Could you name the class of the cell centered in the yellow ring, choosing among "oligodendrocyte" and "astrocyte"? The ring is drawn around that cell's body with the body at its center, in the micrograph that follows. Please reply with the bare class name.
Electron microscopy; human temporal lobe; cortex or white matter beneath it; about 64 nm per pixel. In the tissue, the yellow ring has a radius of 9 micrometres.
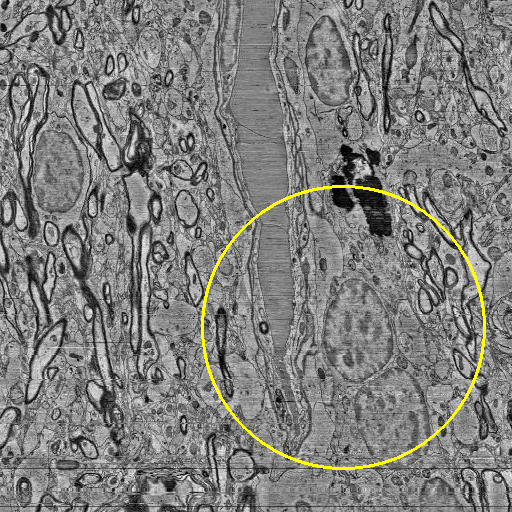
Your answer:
oligodendrocyte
